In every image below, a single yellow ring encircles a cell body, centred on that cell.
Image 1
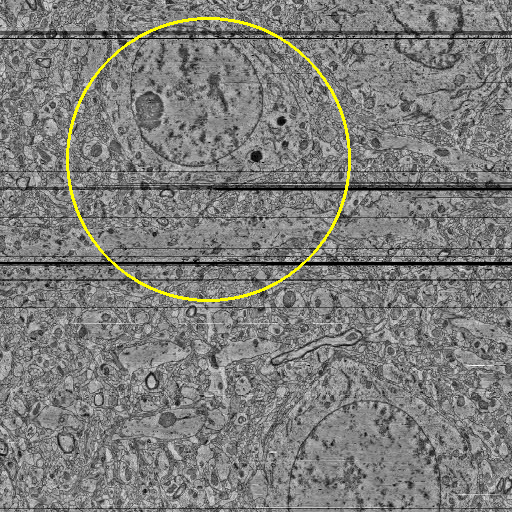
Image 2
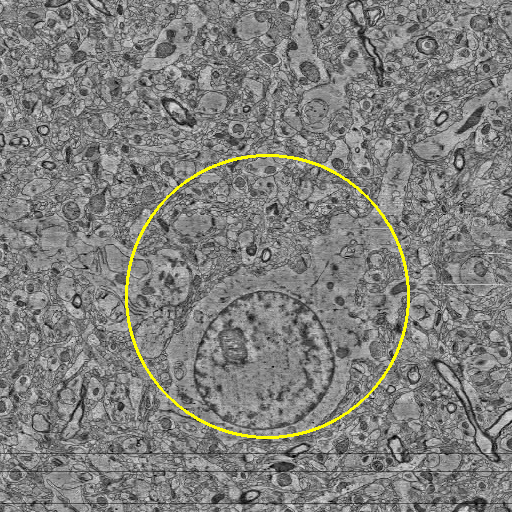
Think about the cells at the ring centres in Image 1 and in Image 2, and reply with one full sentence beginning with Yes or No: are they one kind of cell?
No, the cells centred in the rings of Image 1 and Image 2 are two kinds of cell.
